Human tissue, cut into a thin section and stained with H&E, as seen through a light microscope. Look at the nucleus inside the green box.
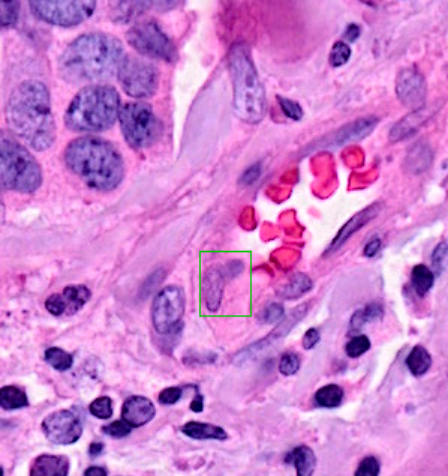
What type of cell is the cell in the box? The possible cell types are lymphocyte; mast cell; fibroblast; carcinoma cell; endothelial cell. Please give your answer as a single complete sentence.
On this particular slide, the cell in the box is an endothelial cell.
